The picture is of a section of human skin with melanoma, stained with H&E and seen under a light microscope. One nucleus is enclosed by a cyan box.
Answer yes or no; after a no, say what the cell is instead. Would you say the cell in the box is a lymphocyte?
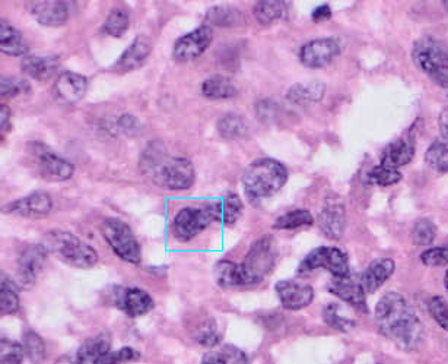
No, it is a melanoma cell.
